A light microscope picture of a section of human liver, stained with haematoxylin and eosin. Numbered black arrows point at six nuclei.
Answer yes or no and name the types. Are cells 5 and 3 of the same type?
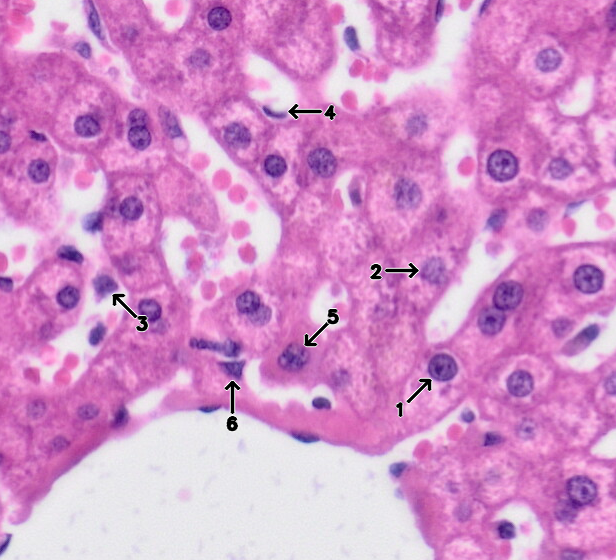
No, cell 5 is a hepatocyte whereas cell 3 is a Kupffer cell.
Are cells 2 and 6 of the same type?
No; whereas cell 2 is a hepatocyte, cell 6 is a fibroblast or stellate cell.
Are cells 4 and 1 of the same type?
No, the cell bearing number 4 is an endothelial cell, while the one bearing number 1 is a hepatocyte.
